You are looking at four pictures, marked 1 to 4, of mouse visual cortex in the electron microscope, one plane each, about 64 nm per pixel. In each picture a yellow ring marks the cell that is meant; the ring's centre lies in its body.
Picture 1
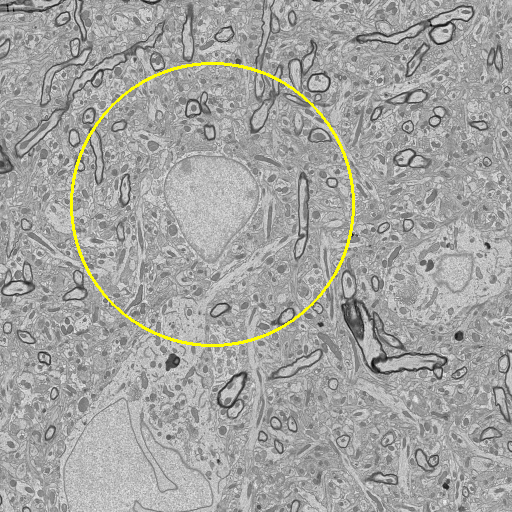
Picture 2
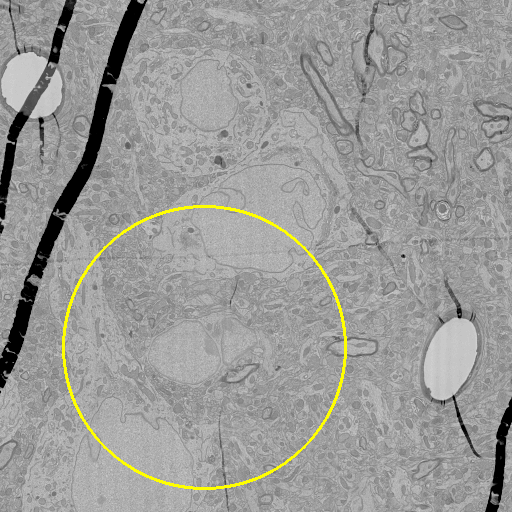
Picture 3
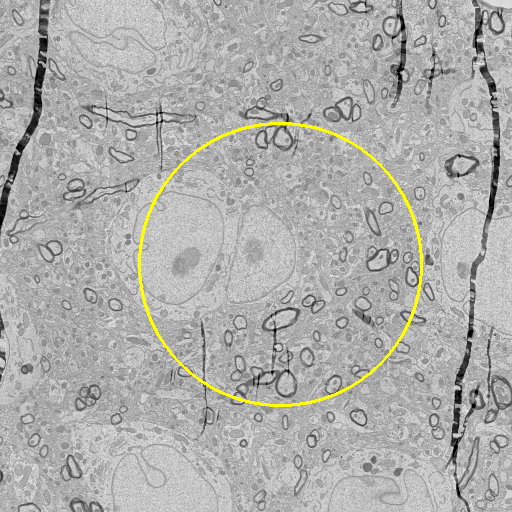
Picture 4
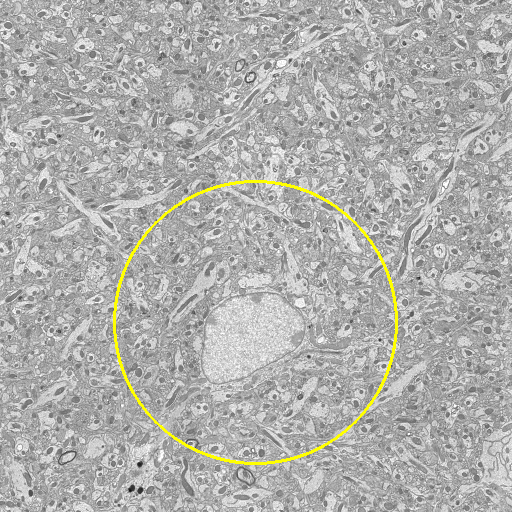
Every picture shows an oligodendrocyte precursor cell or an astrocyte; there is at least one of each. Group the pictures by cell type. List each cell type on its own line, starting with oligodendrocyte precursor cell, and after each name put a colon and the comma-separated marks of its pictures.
oligodendrocyte precursor cell: 2, 3
astrocyte: 1, 4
